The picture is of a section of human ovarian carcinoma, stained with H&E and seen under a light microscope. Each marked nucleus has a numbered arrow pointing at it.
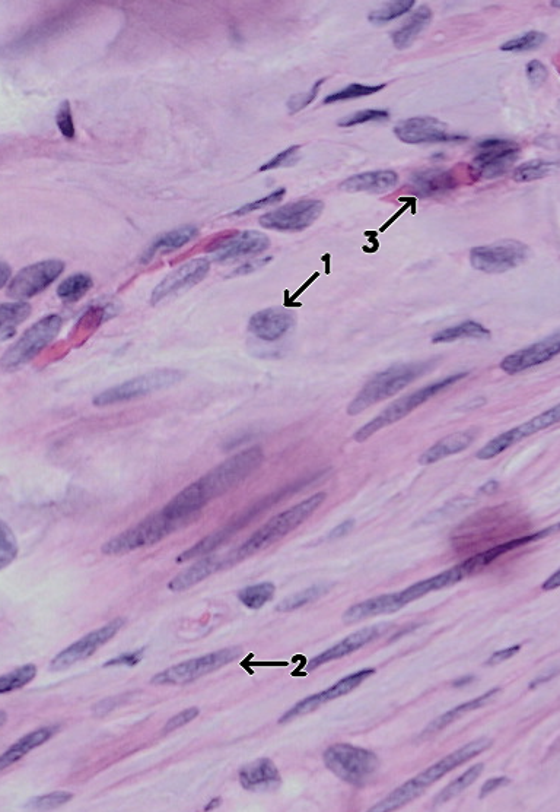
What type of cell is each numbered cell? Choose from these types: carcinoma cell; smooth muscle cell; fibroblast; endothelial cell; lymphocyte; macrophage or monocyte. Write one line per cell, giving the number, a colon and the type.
1: fibroblast
2: smooth muscle cell
3: endothelial cell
